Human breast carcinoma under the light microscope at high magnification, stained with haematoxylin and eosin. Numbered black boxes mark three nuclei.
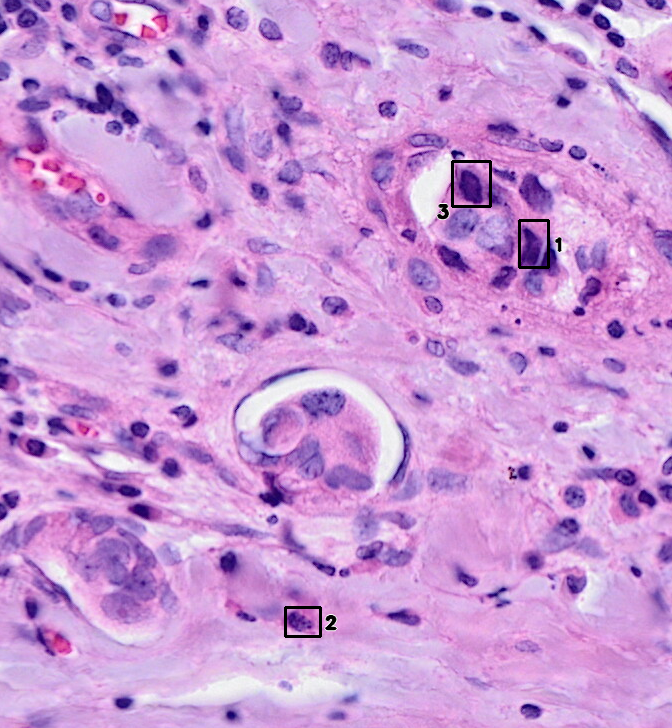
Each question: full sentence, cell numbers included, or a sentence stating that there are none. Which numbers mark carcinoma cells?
Cells 1 and 3 are carcinoma cells by cell type.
